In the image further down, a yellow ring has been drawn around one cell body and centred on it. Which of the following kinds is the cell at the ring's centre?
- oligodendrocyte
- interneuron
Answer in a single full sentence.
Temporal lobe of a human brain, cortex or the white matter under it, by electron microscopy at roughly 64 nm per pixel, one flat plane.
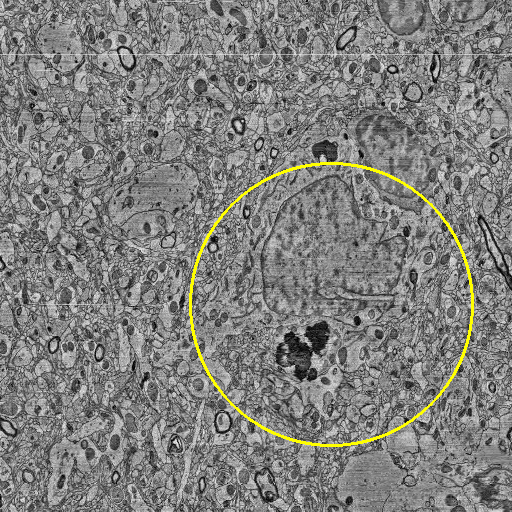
In the picture, the cell sitting at the centre of the yellow ring is an interneuron.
